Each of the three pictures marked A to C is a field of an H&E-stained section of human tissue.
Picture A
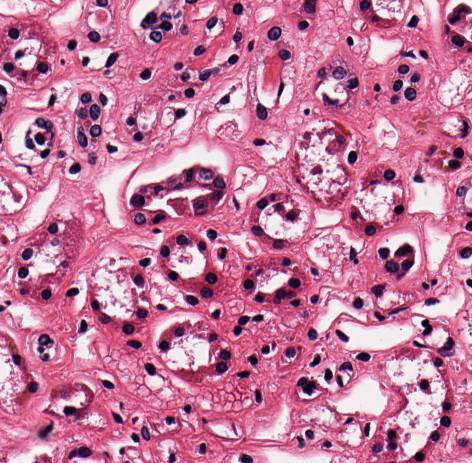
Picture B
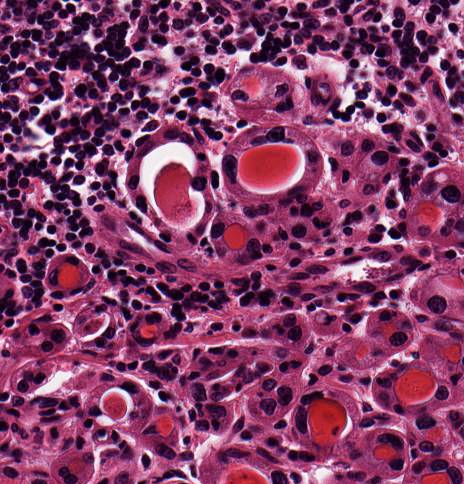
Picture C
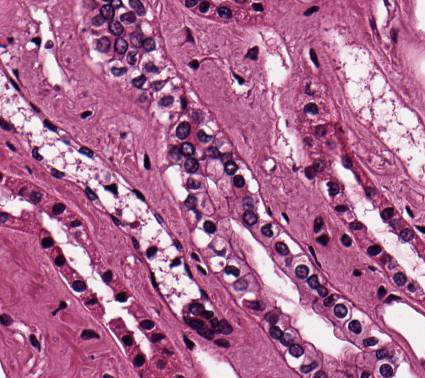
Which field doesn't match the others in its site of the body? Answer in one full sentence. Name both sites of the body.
The others come from the renal medulla, but picture B comes from the thyroid.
